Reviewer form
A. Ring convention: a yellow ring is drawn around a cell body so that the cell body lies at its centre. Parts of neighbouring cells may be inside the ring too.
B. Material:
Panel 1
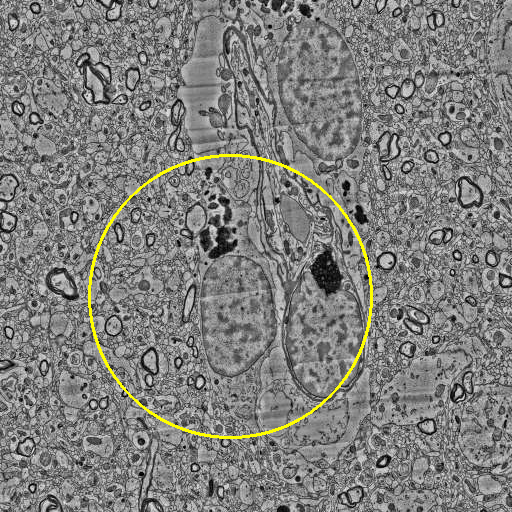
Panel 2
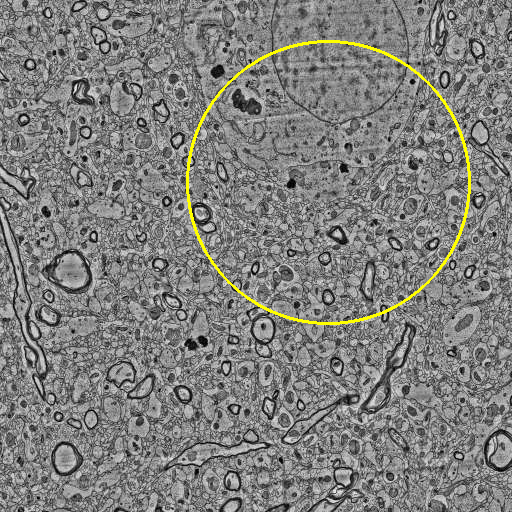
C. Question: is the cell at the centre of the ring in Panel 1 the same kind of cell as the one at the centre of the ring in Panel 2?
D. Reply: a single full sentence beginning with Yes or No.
Yes, the cells in Panel 1 and Panel 2 are the same kind of cell.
